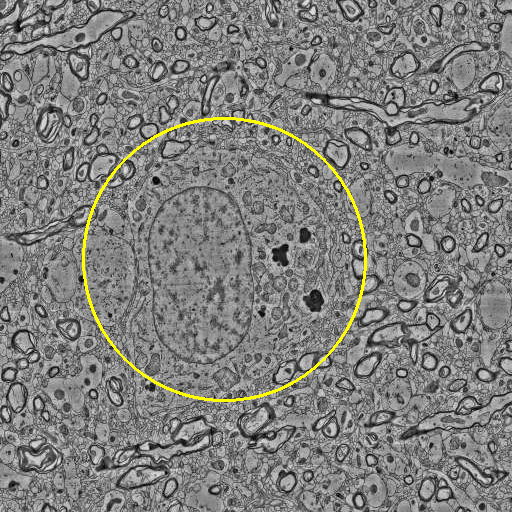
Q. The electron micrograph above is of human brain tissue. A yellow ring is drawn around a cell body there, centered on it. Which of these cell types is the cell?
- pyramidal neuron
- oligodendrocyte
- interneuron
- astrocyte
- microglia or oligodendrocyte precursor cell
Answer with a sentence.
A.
The cell under the ring's center is an interneuron.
